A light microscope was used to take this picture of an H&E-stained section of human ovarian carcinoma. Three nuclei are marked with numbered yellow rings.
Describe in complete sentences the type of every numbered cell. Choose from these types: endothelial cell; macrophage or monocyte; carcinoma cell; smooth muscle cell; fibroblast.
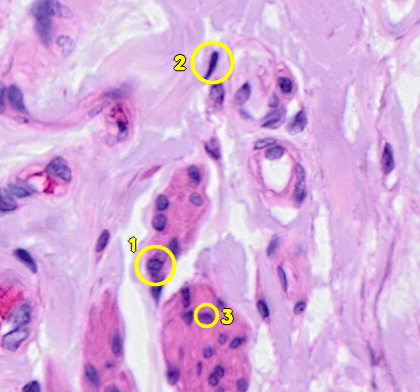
Cells 1 and 3 are smooth muscle cells. Cell 2 is a fibroblast.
